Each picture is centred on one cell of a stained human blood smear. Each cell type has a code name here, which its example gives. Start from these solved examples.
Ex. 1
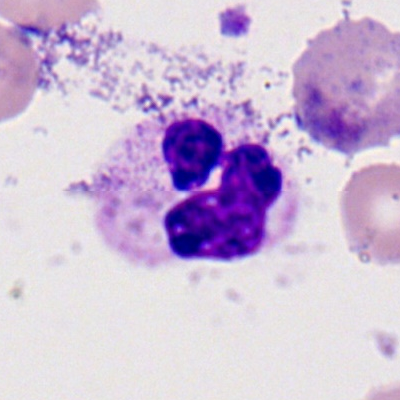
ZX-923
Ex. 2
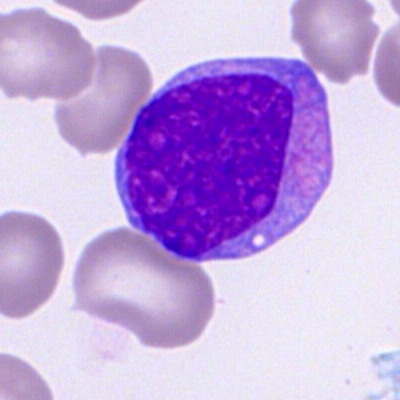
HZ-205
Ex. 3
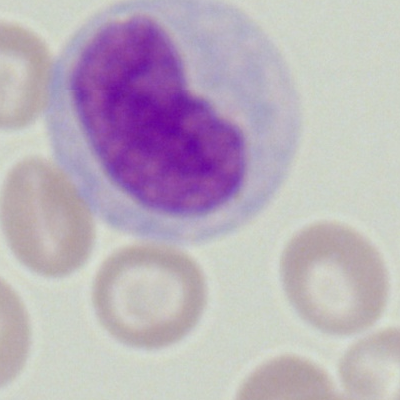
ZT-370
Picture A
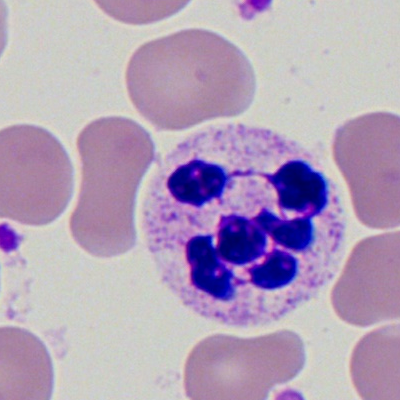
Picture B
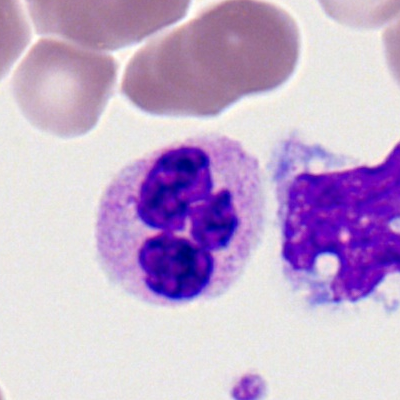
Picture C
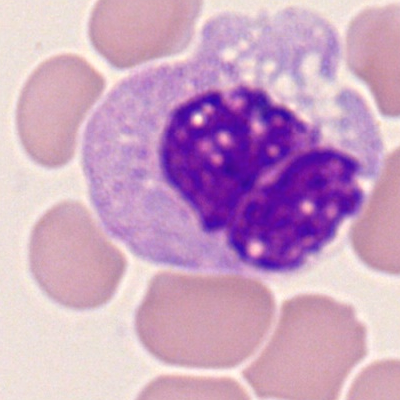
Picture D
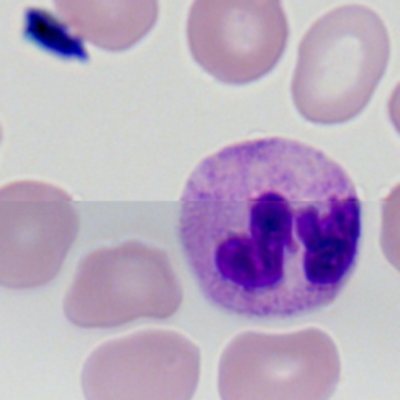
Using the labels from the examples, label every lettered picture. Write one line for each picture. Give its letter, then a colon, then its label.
A: ZX-923
B: ZX-923
C: ZT-370
D: ZX-923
